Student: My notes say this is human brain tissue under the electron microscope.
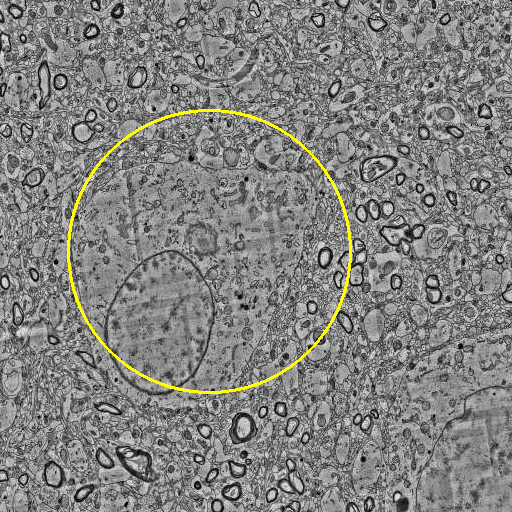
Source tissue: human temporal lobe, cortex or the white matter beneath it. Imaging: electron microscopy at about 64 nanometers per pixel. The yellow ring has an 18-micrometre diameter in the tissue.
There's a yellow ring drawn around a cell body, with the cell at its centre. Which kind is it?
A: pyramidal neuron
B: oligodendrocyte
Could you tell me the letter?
B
